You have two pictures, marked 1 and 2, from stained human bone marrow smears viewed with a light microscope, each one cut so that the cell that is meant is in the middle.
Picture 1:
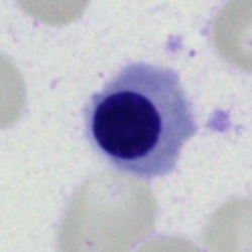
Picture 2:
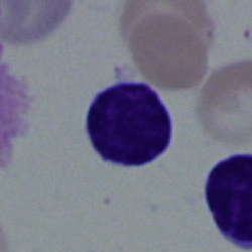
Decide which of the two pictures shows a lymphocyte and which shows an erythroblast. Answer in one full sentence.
Picture 1 is of an erythroblast, and picture 2 is of a lymphocyte.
